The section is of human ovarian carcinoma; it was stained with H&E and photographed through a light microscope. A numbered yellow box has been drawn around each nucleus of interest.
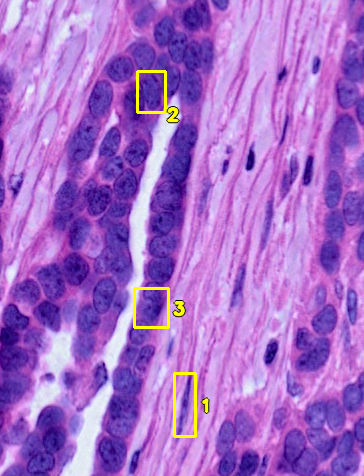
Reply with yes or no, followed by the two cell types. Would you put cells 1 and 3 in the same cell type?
No, not so; cell 1 is a fibroblast and cell 3 is a carcinoma cell.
